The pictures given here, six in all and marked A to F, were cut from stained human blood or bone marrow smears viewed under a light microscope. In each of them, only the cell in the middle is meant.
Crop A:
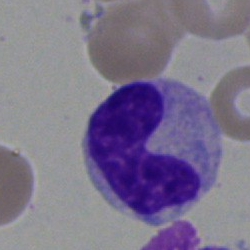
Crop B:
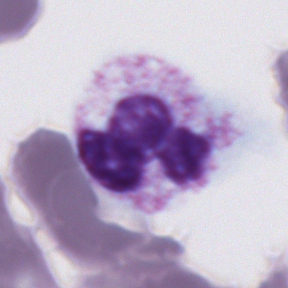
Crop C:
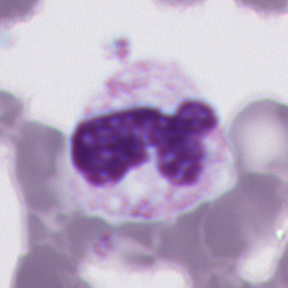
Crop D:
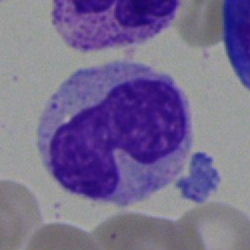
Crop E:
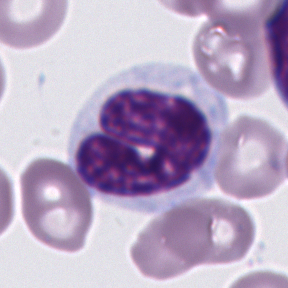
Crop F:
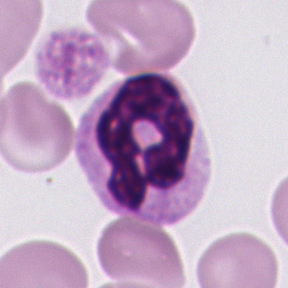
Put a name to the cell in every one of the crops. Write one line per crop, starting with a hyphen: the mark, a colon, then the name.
- A: band neutrophil
- B: segmented neutrophil
- C: segmented neutrophil
- D: band neutrophil
- E: band neutrophil
- F: segmented neutrophil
